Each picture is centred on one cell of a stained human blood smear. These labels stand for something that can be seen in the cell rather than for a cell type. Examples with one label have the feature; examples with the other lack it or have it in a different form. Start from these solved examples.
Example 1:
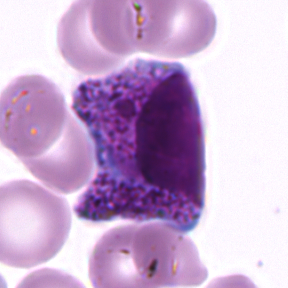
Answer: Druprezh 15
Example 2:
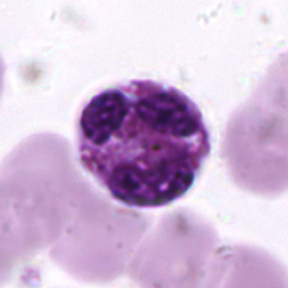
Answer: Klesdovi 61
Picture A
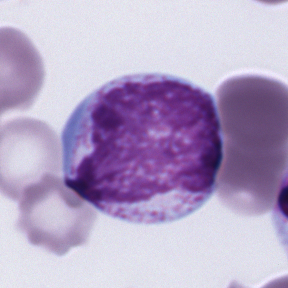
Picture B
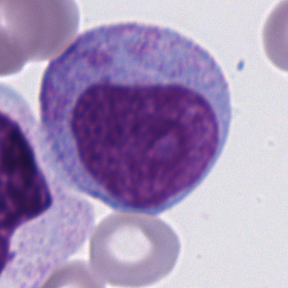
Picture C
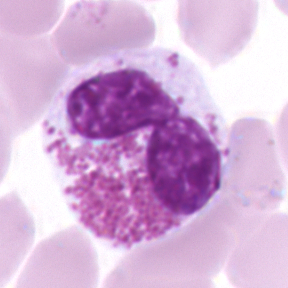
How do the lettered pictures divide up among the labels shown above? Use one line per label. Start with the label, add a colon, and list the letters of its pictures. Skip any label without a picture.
Druprezh 15: C
Klesdovi 61: A, B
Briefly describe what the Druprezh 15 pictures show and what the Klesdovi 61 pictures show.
In Druprezh 15: coarse or large granules. In Klesdovi 61: fine or small granules.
